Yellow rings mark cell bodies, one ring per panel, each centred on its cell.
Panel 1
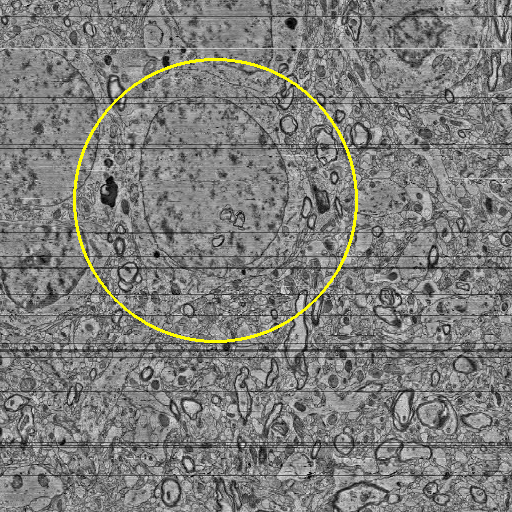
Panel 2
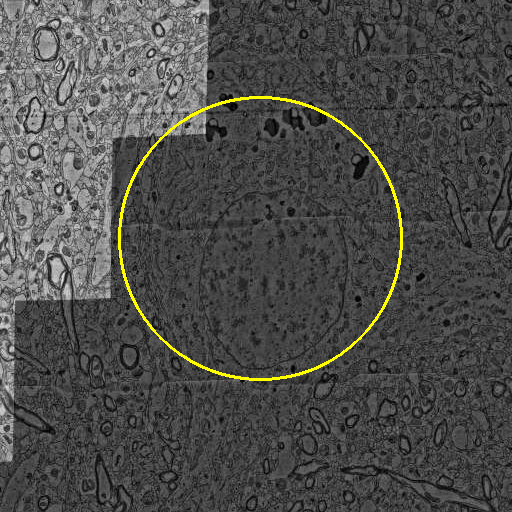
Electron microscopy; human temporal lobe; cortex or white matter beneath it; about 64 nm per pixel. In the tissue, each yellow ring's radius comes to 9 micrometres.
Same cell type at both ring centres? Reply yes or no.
yes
